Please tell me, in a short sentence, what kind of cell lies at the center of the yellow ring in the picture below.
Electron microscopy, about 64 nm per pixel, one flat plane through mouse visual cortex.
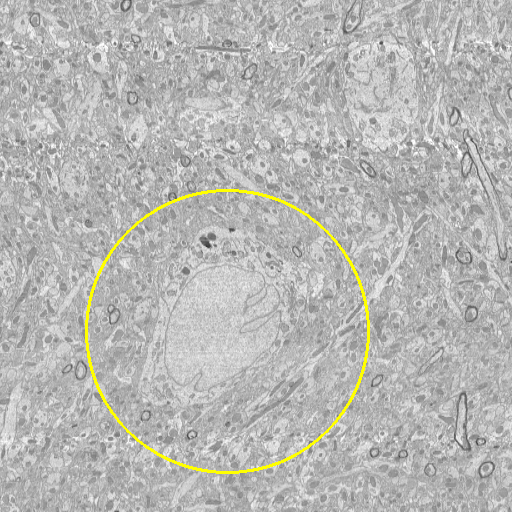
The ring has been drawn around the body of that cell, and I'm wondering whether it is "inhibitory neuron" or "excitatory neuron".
The cell at the center of the ring is an inhibitory neuron.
